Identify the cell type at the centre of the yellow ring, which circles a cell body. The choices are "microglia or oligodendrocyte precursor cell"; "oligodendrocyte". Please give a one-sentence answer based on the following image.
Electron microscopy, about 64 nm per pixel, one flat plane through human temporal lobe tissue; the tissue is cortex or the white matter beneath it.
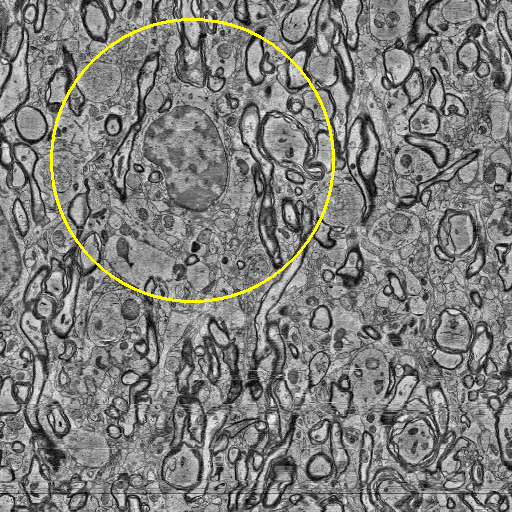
The cell marked by the ring is a microglial cell or oligodendrocyte precursor cell.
